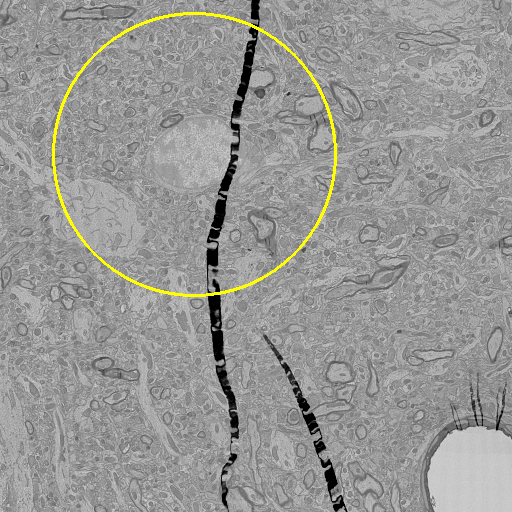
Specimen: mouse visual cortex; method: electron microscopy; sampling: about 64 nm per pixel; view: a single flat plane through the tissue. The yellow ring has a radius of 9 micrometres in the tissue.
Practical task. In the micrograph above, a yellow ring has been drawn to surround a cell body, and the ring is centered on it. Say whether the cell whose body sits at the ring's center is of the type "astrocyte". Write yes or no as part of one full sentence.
No, the cell at the center of the ring above is of another type.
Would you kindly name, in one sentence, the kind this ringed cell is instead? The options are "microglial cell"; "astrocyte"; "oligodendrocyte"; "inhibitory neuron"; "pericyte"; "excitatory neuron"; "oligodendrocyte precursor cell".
The cell enclosed by the ring is an oligodendrocyte.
